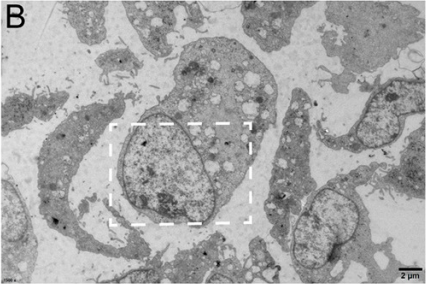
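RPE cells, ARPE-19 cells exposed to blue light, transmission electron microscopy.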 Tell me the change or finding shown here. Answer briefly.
Many cytoplasmic vacuoles.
